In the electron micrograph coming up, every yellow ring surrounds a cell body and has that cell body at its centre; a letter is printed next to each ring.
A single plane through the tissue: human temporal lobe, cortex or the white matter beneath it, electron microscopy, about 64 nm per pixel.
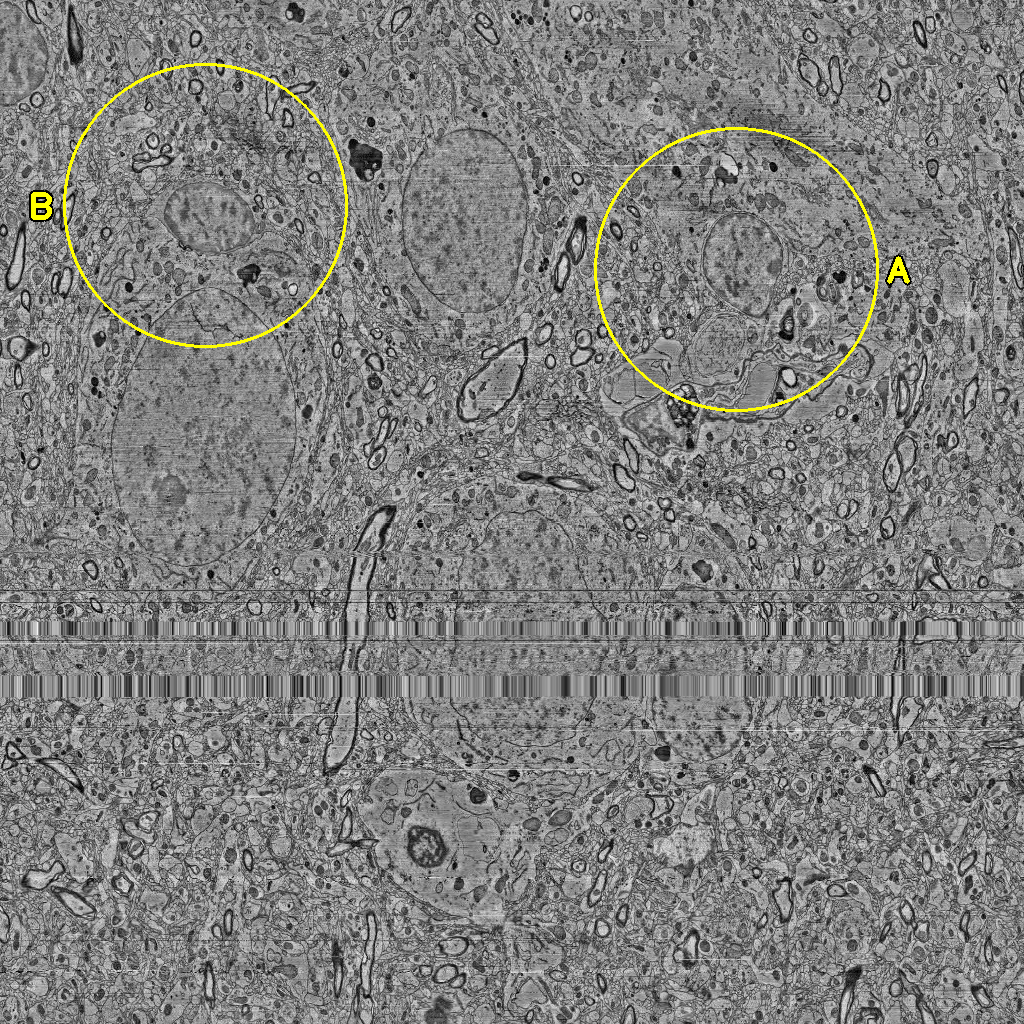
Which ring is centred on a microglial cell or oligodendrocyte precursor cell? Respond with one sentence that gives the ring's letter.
Ring A is the one whose centre sits on the cell asked for in the picture.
